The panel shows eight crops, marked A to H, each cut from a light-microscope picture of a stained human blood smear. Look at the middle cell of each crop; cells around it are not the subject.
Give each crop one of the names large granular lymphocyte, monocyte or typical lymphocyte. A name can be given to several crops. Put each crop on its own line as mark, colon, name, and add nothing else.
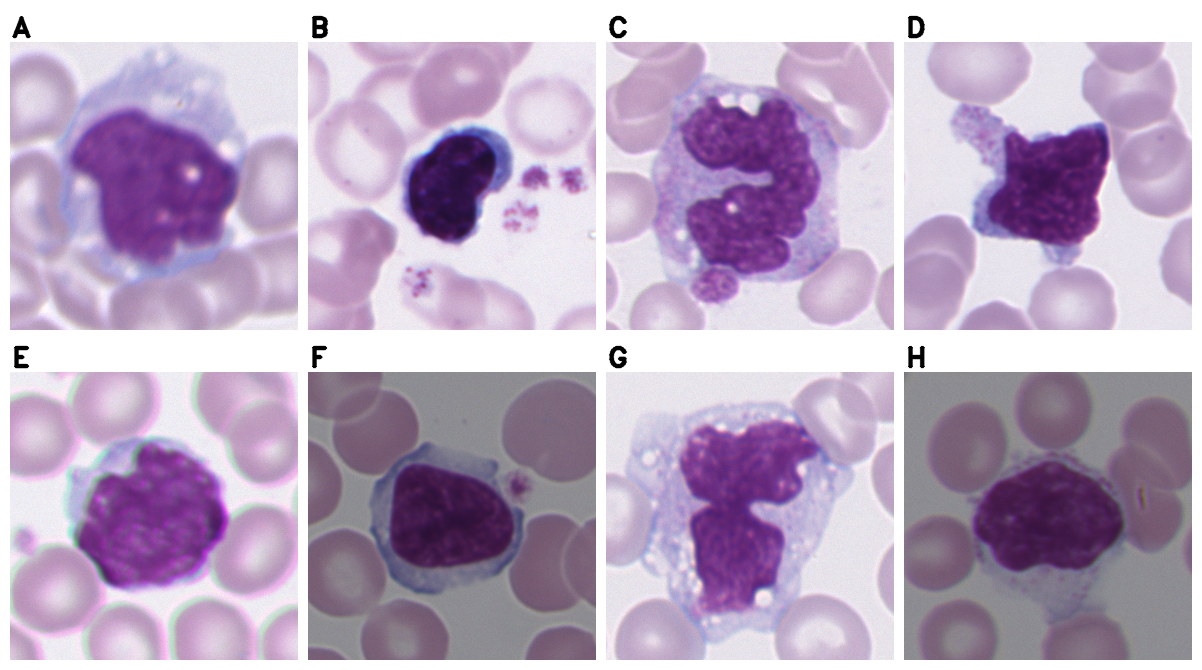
A: monocyte
B: typical lymphocyte
C: monocyte
D: large granular lymphocyte
E: typical lymphocyte
F: typical lymphocyte
G: monocyte
H: large granular lymphocyte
